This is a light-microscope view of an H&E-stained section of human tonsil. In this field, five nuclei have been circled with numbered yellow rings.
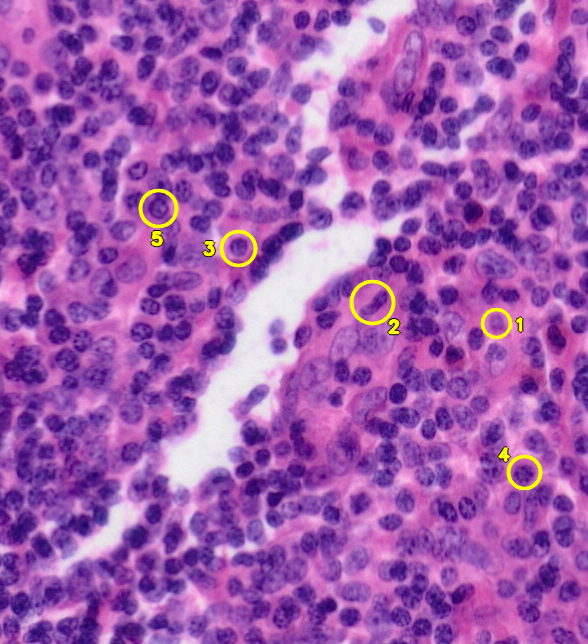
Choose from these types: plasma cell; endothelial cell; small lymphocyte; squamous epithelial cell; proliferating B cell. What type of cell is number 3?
endothelial cell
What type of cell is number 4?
plasma cell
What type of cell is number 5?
plasma cell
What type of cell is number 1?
endothelial cell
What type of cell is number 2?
endothelial cell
